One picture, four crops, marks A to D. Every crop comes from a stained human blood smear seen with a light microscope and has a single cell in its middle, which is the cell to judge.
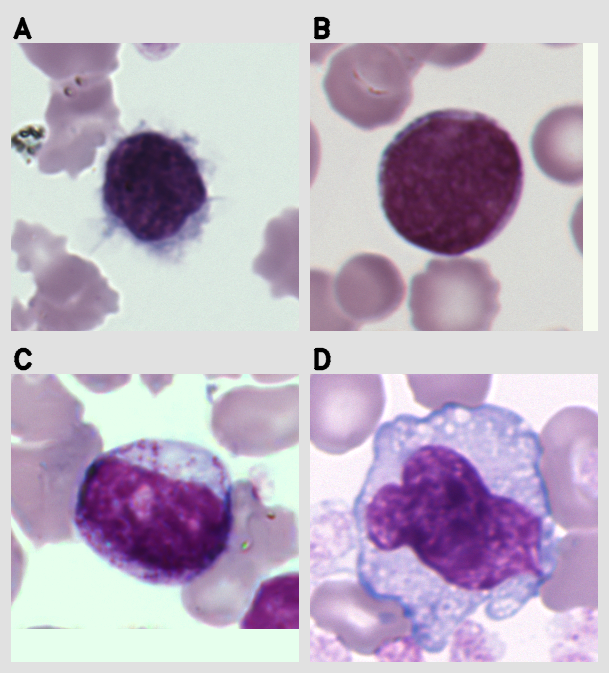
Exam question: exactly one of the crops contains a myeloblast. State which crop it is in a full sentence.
It is in crop B that a myeloblast is shown.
